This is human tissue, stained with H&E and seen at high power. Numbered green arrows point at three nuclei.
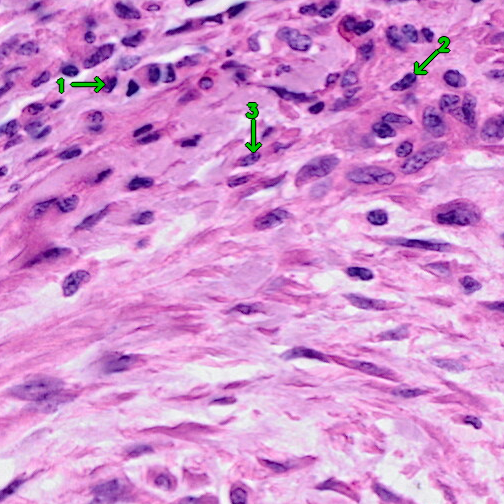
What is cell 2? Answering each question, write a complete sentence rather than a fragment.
The cell carrying label 2 is identified as a lymphocyte.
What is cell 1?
The mark numbered 1 indicates the nucleus of a lymphocyte.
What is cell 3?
The nucleus labeled 3 belongs to a fibroblast.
